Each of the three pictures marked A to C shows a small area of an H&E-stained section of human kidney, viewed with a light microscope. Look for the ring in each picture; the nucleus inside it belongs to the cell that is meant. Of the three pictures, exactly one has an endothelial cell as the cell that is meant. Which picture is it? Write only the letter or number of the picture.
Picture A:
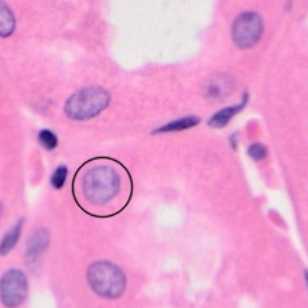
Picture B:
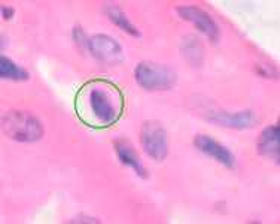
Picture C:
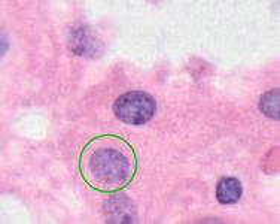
B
